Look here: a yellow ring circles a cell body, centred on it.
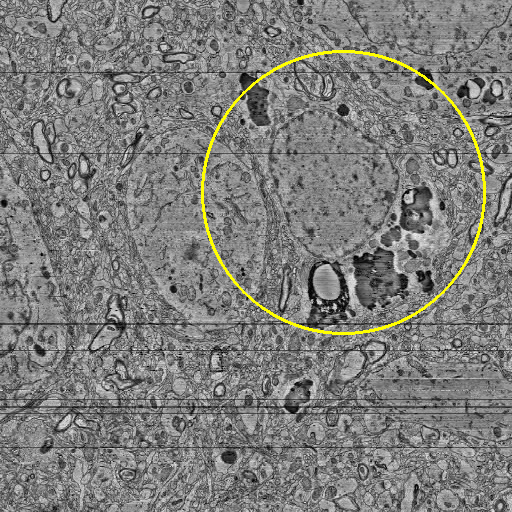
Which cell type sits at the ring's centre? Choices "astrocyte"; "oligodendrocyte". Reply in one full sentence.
The cell at the centre of the yellow ring in the picture is an astrocyte.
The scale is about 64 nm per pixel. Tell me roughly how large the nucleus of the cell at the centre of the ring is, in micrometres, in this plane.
In this plane, the nucleus is roughly 10 by 8 micrometres.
